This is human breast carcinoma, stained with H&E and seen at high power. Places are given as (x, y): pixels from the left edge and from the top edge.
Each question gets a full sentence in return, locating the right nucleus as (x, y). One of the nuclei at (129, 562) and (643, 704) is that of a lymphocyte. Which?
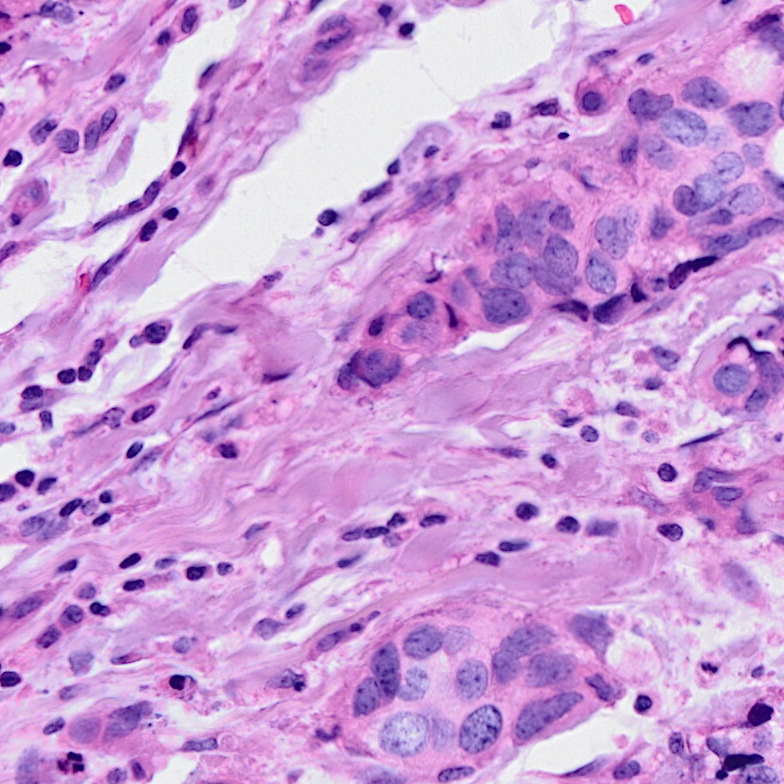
Answering which nucleus it is: the one at (129, 562), belonging to a lymphocyte.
